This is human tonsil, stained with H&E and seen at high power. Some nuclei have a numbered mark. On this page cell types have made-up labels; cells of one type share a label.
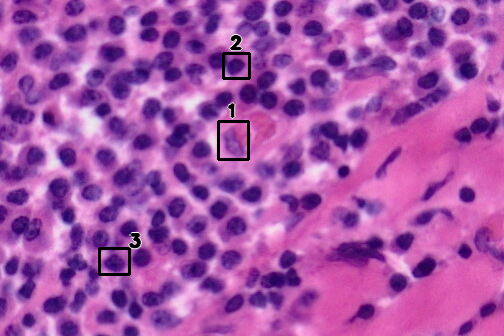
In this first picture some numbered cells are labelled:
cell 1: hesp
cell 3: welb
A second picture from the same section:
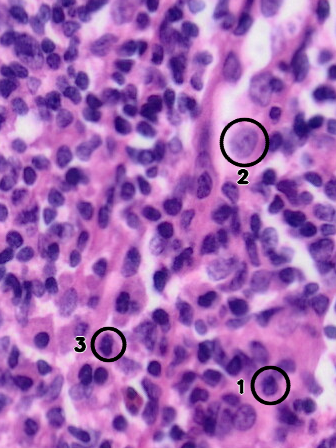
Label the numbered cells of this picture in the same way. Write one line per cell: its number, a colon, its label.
1: hesp
2: hesp
3: welb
